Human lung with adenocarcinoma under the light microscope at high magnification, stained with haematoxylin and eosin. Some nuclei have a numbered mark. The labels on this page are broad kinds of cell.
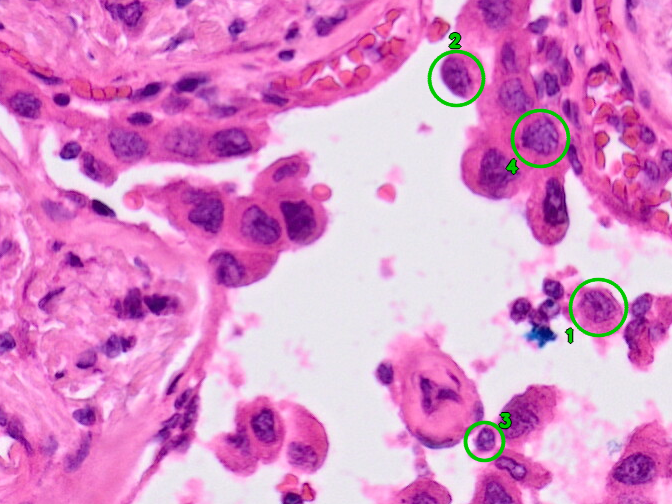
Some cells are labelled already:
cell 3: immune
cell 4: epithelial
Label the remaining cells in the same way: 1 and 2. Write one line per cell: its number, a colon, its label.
1: epithelial
2: epithelial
